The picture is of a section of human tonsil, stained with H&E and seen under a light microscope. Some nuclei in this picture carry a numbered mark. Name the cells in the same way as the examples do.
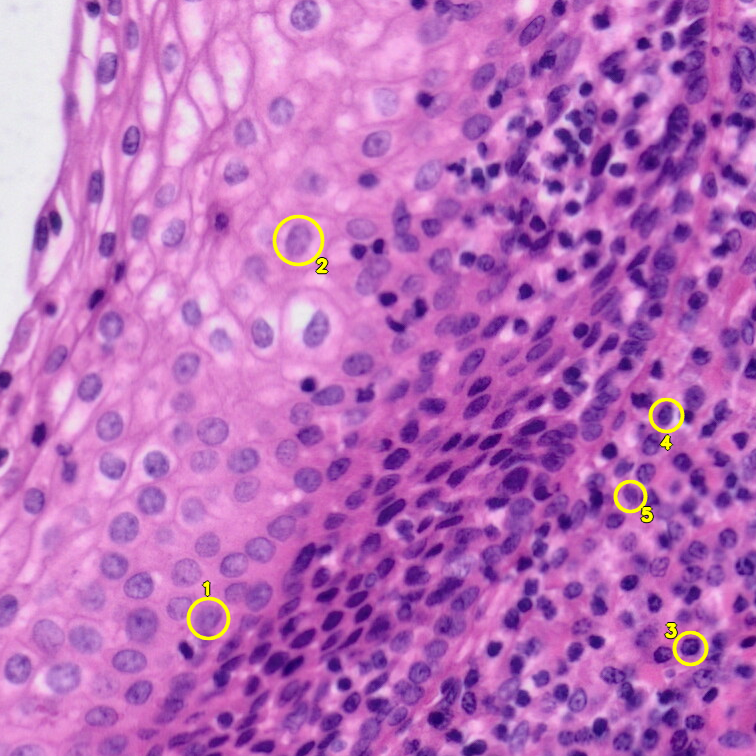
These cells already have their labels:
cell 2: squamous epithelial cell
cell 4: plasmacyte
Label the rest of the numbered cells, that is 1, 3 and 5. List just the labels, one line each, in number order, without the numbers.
squamous epithelial cell
plasmacyte
plasmacyte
